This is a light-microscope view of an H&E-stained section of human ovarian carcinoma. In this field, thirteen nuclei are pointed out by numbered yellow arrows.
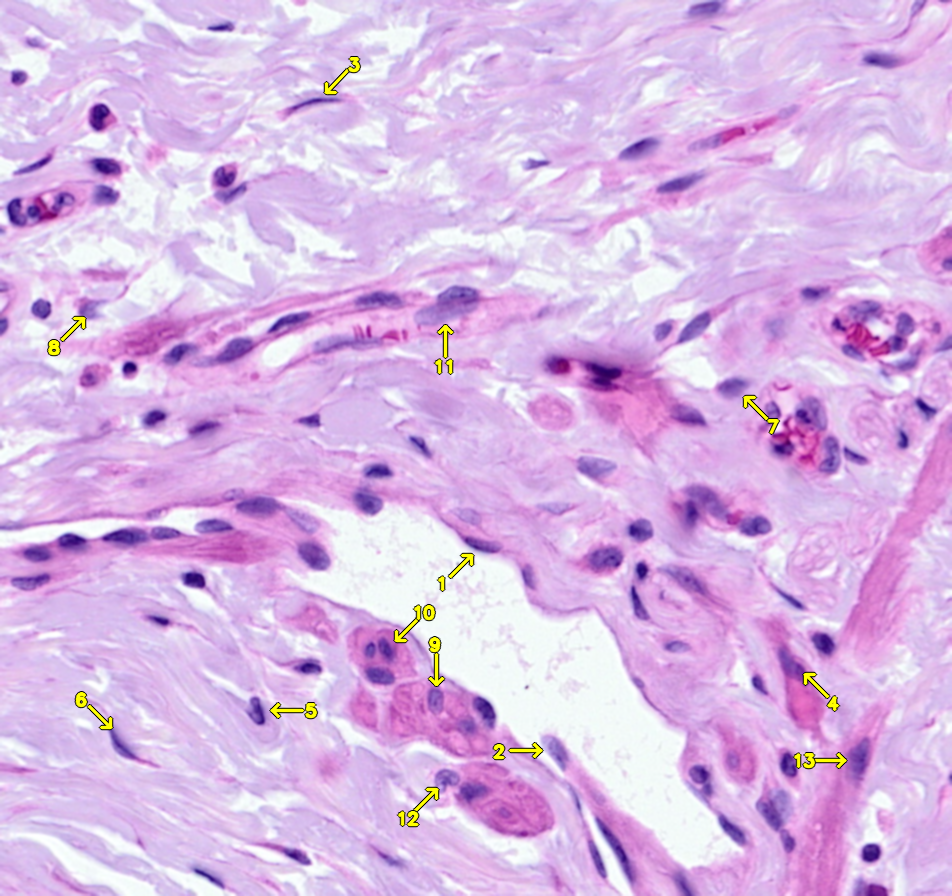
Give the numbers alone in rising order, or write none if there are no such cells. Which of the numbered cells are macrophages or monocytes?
12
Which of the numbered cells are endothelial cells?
1, 2, 11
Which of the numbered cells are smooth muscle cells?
4, 9, 10, 13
